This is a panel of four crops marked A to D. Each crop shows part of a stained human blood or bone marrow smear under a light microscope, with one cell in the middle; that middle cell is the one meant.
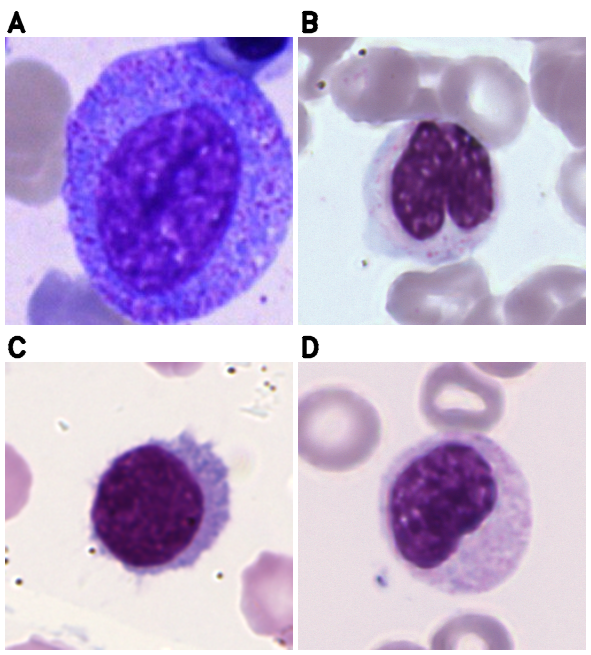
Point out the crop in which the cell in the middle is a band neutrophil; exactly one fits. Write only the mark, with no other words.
B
